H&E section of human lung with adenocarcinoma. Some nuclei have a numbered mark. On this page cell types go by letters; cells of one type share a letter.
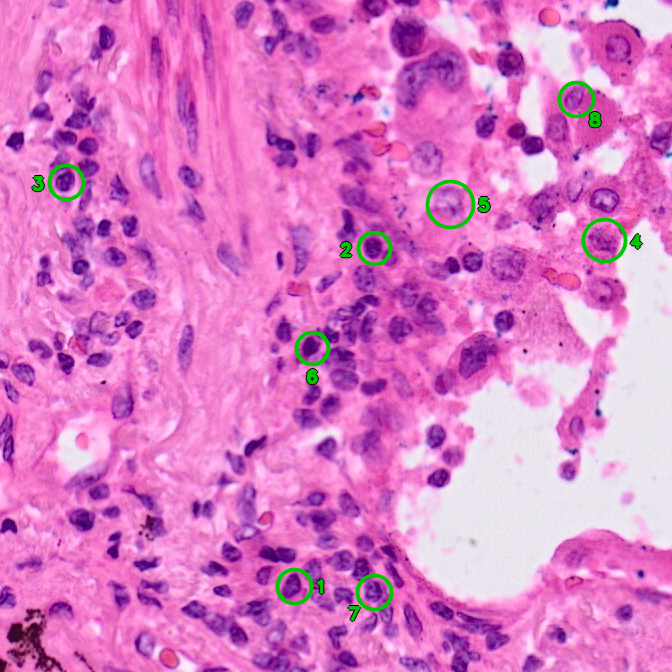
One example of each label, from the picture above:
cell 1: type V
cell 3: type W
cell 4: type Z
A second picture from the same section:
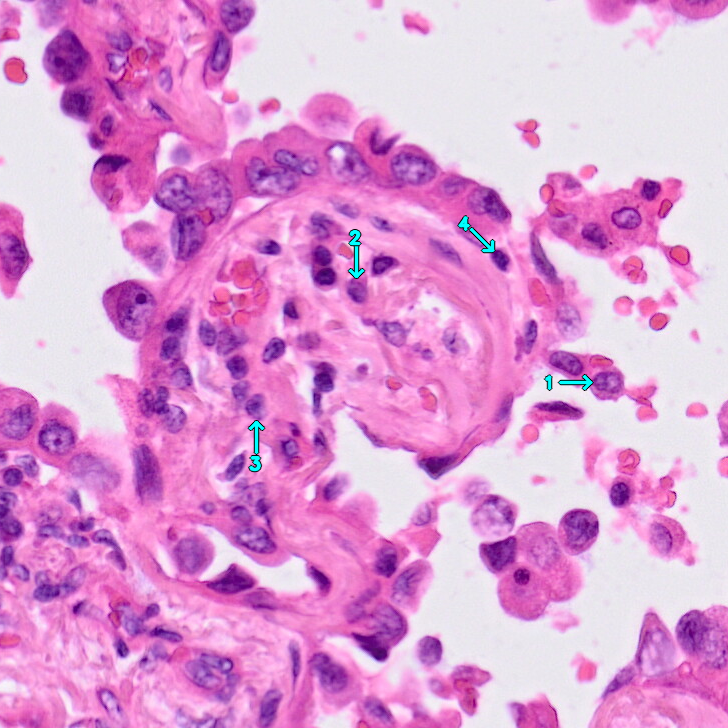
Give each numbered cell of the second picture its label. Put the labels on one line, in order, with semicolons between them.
type Z; type V; type W; type W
